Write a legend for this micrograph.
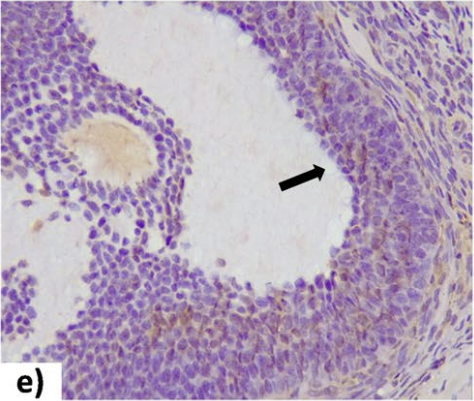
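A thick wall of crowded small cells with oval purple nuclei surrounds an irregular pale cavity, and a tongue of the same cells projects into it enclosing a smaller pale pool. These are granulosa cells of a follicle, stacked in several layers with scant cytoplasm. Beyond the granulosa wall, elongated spindle-shaped cells form a looser surrounding layer.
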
